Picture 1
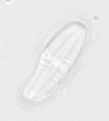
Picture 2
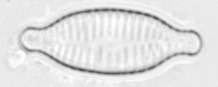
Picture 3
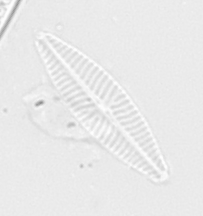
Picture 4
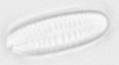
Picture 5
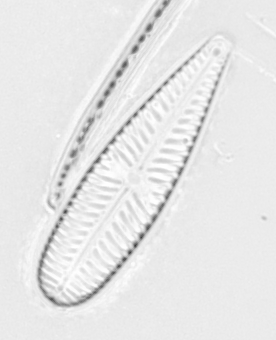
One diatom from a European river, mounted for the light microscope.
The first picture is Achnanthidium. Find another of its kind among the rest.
Picture 4.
